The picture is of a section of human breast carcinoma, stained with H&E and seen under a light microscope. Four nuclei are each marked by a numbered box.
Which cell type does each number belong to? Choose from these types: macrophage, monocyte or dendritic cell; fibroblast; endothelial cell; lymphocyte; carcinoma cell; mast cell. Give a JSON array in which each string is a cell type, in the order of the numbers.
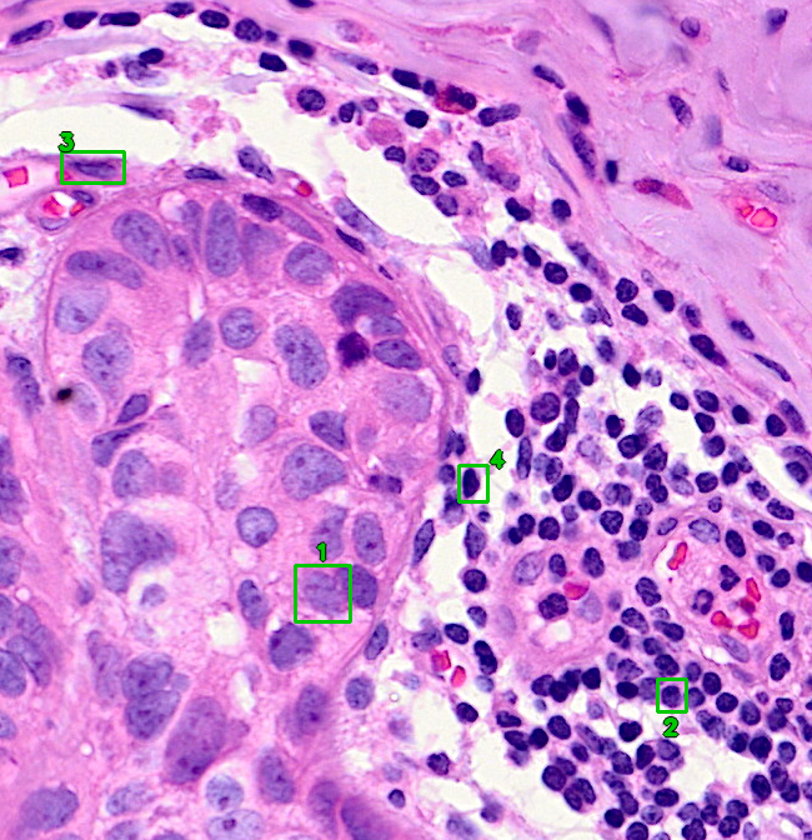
["carcinoma cell", "lymphocyte", "endothelial cell", "lymphocyte"]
